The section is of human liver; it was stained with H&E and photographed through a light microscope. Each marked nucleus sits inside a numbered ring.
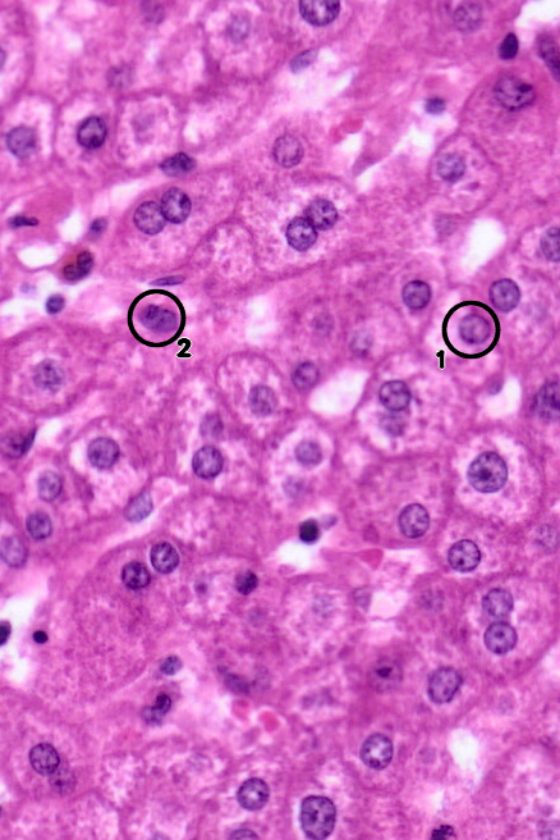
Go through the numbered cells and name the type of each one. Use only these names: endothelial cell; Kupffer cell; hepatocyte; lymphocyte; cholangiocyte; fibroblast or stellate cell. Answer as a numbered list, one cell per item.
1. hepatocyte
2. Kupffer cell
